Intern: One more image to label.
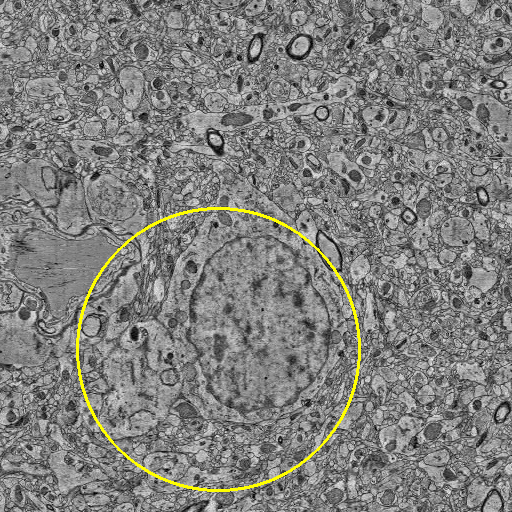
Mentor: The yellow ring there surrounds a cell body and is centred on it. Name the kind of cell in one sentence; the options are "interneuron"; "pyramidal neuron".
The ring marks the cell body of an interneuron.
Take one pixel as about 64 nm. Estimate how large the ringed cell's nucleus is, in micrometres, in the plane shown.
In this plane the nucleus measures roughly 12 by 9 micrometres.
